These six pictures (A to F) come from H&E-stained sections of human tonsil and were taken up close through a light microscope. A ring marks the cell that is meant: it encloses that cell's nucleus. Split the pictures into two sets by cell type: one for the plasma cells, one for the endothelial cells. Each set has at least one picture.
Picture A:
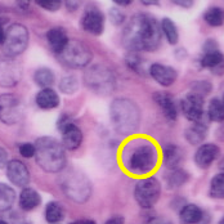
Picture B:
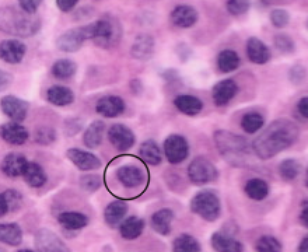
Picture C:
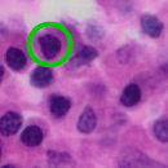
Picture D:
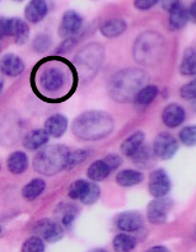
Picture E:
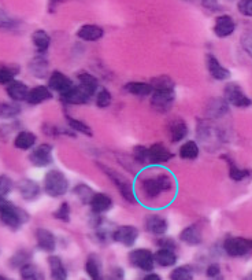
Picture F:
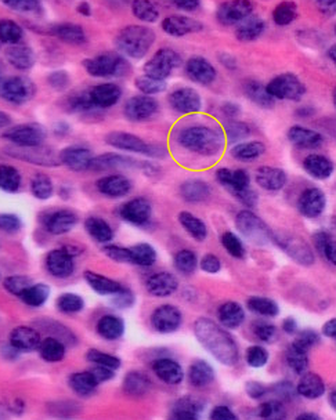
A: endothelial cell
B: plasma cell
C: plasma cell
D: endothelial cell
E: endothelial cell
F: endothelial cell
